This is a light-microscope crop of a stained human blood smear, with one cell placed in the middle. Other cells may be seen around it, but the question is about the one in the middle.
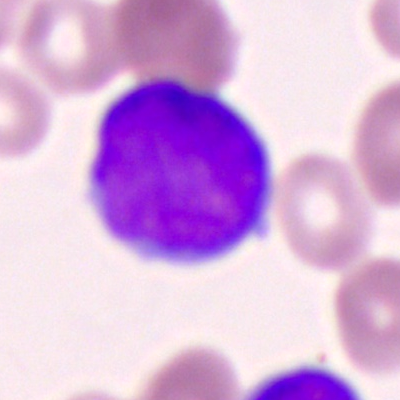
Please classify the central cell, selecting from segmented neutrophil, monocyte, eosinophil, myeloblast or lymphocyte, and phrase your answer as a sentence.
The cell sitting right in the middle is a myeloblast.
